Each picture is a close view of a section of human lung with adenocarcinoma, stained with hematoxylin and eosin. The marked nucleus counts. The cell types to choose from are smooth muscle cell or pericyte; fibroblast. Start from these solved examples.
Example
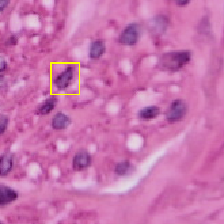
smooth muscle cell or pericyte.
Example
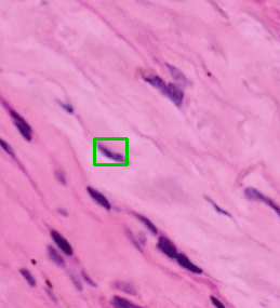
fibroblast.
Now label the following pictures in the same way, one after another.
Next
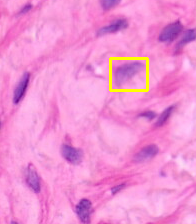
smooth muscle cell or pericyte.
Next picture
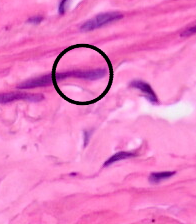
smooth muscle cell or pericyte.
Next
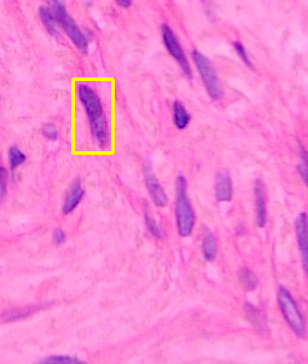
smooth muscle cell or pericyte.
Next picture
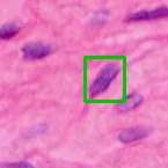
smooth muscle cell or pericyte.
